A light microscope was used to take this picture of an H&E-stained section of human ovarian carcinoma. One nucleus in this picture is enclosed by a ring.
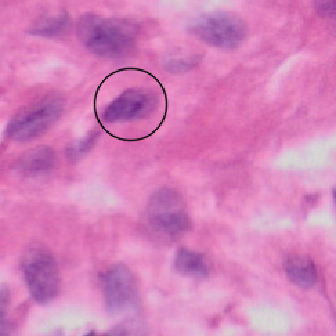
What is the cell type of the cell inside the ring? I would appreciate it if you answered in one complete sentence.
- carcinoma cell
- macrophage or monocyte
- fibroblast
As a matter of cell type, the cell inside the ring is a fibroblast.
